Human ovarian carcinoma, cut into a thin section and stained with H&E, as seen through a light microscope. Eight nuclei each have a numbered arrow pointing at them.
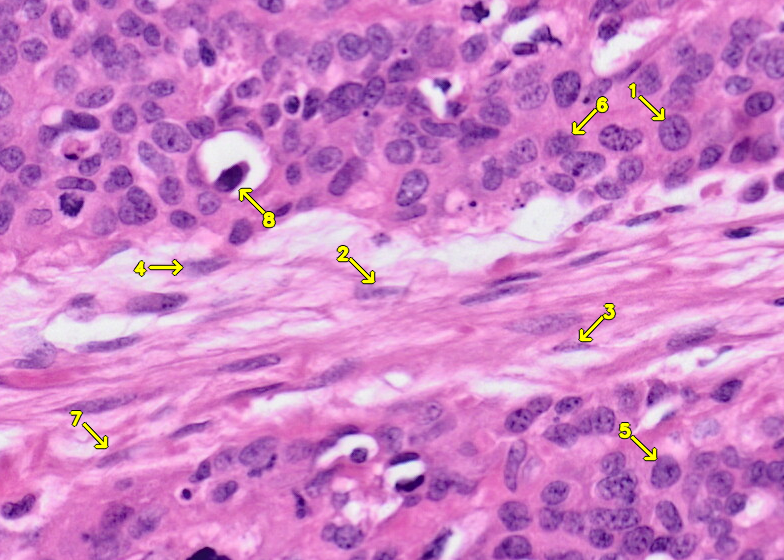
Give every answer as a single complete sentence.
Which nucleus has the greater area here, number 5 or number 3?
Nucleus 5 covers more area, about 2 times as much as nucleus 3.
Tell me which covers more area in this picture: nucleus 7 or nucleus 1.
Number 1 is larger; its area is about 3 times that of number 7.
